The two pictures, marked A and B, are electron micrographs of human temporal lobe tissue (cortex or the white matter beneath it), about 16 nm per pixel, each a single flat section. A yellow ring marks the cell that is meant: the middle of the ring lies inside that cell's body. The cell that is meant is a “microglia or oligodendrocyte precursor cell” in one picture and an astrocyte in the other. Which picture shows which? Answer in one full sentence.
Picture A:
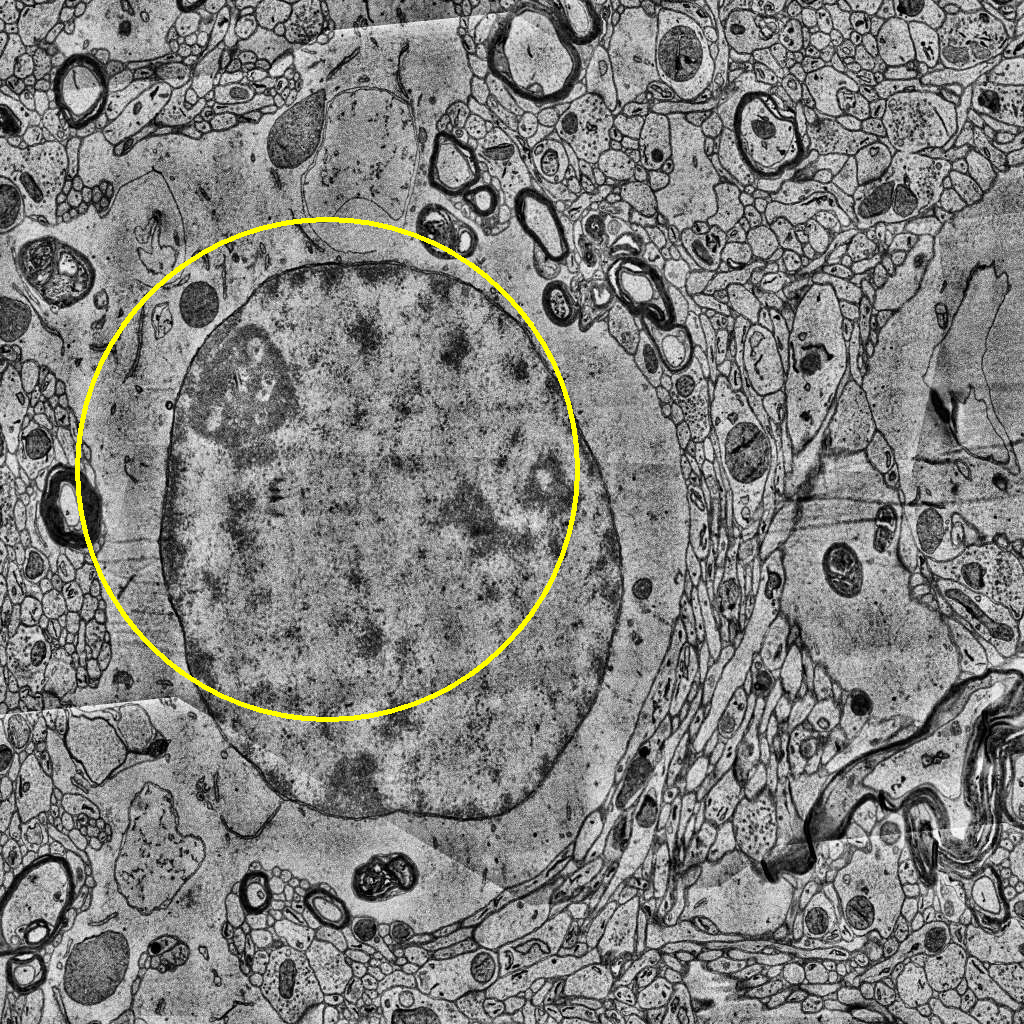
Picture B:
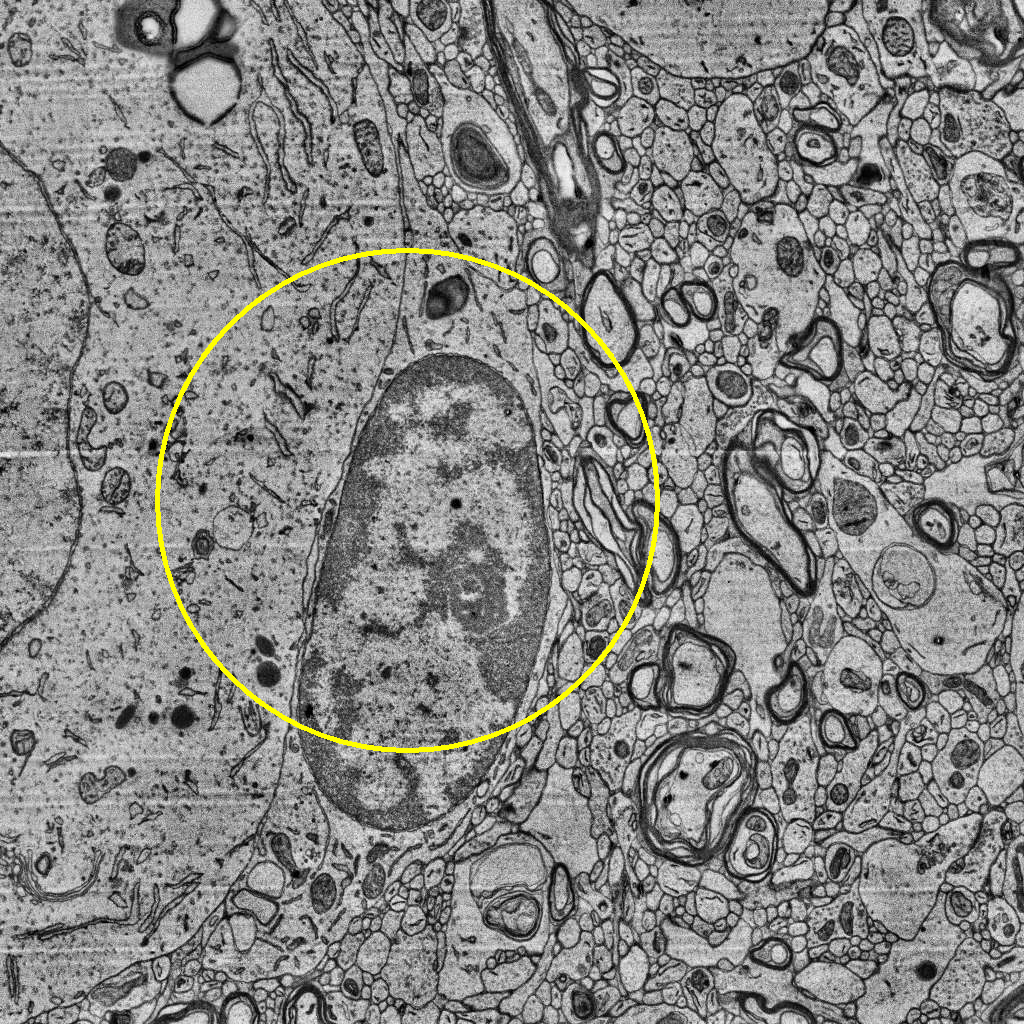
The cell in picture A is an astrocyte, and the one in picture B is a “microglia or oligodendrocyte precursor cell”.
